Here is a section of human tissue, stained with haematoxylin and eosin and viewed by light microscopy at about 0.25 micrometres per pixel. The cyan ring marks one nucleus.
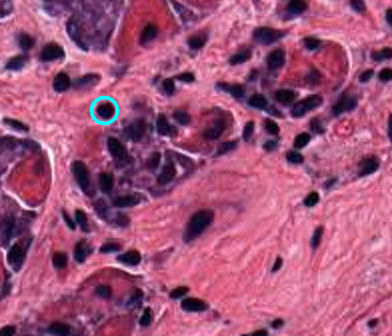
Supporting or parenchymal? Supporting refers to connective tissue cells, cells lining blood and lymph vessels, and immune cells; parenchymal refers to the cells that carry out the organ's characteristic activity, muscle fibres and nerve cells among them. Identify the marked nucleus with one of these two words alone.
supporting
